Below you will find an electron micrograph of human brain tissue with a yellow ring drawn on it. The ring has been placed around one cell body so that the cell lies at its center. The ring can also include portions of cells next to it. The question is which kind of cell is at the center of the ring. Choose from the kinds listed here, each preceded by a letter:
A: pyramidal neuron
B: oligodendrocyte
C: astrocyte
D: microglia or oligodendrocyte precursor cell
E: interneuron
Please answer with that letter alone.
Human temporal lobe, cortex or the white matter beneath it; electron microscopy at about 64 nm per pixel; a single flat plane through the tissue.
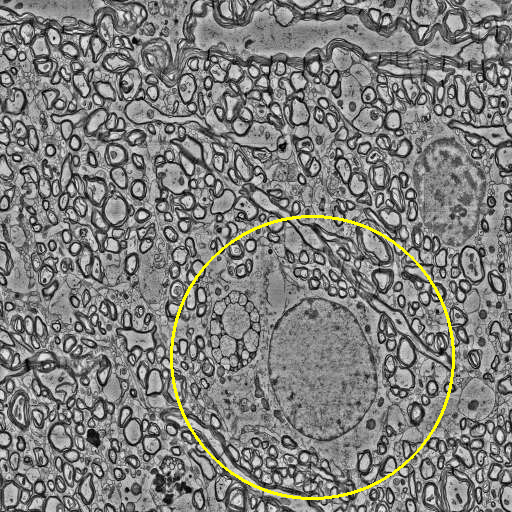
C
